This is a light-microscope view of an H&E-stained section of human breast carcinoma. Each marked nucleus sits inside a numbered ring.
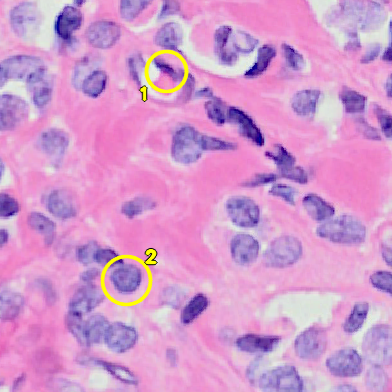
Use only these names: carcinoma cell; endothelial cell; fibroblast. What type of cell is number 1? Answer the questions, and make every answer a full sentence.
The cell referenced by the number 1 is an endothelial cell in this field.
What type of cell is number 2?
The nucleus labelled 2 belongs to a carcinoma cell.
